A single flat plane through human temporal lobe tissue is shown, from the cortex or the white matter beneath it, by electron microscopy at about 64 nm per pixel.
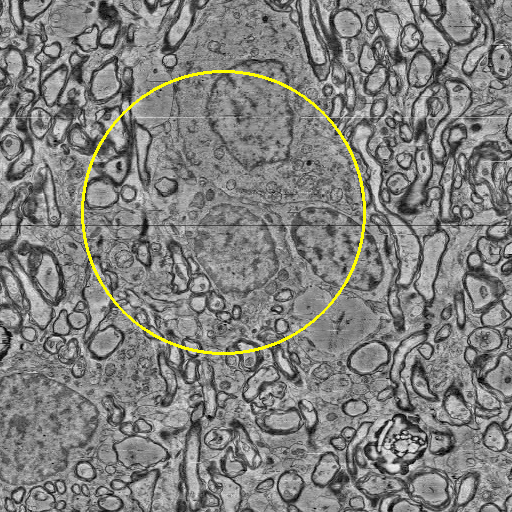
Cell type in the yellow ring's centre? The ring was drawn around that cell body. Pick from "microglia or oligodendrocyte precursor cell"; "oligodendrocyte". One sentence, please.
The ringed cell body is that of an oligodendrocyte.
